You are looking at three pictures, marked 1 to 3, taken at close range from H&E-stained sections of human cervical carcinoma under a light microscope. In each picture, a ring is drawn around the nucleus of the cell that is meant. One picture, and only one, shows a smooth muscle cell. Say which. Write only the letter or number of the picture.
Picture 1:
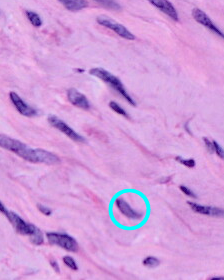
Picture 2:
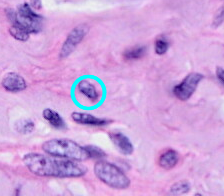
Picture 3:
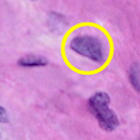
2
